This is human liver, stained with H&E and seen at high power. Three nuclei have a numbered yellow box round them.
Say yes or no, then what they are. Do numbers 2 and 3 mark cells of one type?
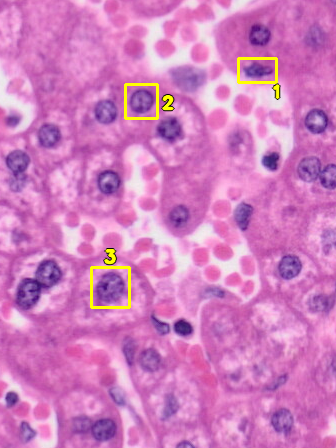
Yes, both cell 2 and cell 3 count among the hepatocytes.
